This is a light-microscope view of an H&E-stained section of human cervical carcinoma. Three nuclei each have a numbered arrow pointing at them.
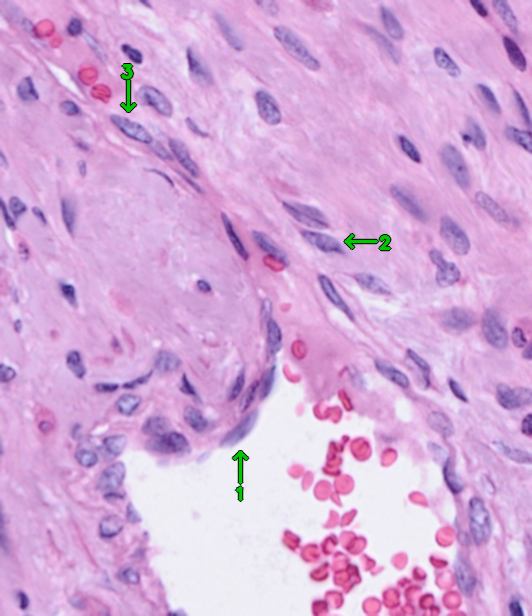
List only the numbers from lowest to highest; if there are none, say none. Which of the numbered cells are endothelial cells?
1, 3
